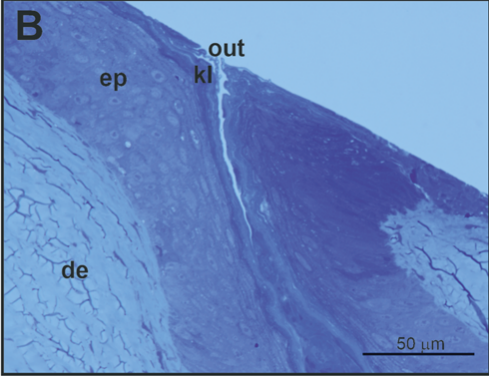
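This is the surface region of a skin gland: a thick stratified epidermis pierced by a narrow channel, the outlet of the gland, which runs obliquely down from the skin surface and is lined by a thin keratin layer. The epidermal cells are polygonal with round pale nuclei, stacked in many layers and flattening toward the surface, where the epithelium stains a deeper blue. To the left lies the dermis, a paler fibrous connective tissue with a network of fine cracks, clearly separated from the darker epidermis along a curved border.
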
